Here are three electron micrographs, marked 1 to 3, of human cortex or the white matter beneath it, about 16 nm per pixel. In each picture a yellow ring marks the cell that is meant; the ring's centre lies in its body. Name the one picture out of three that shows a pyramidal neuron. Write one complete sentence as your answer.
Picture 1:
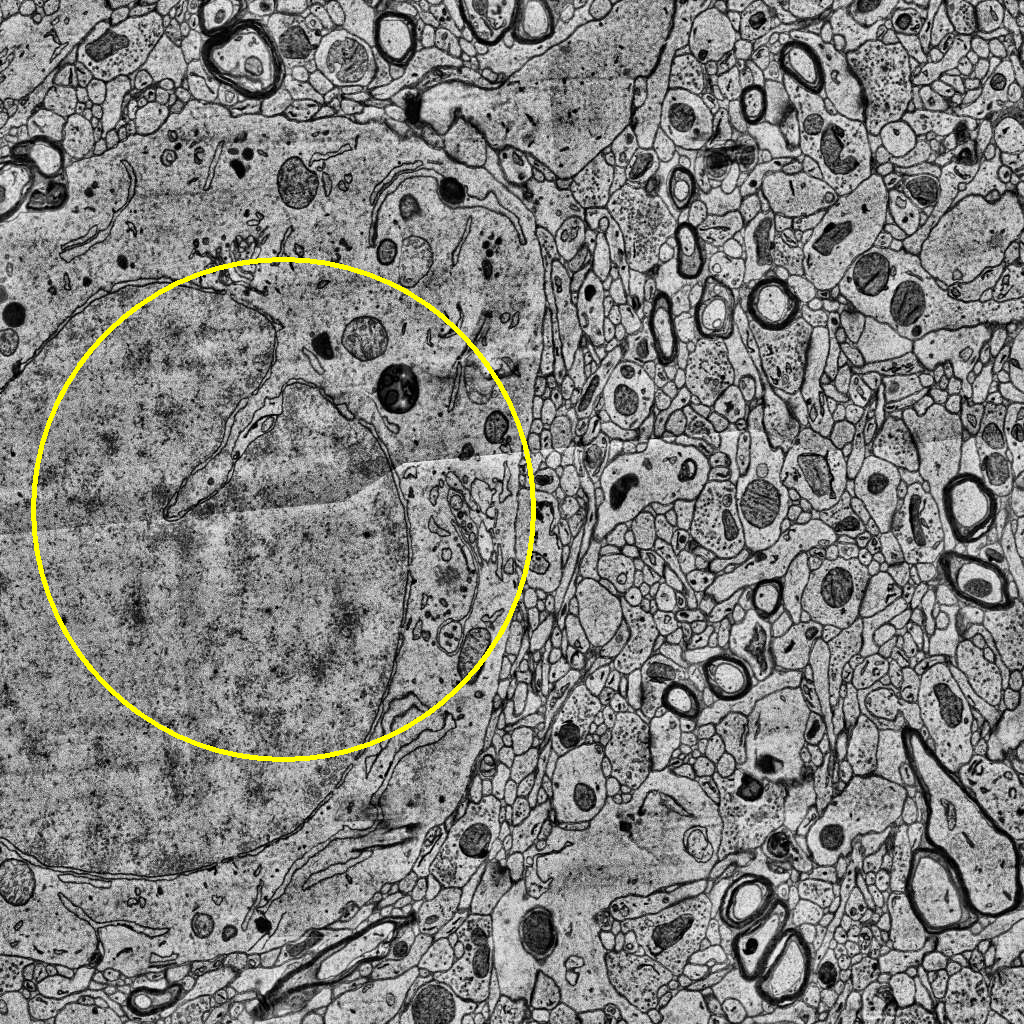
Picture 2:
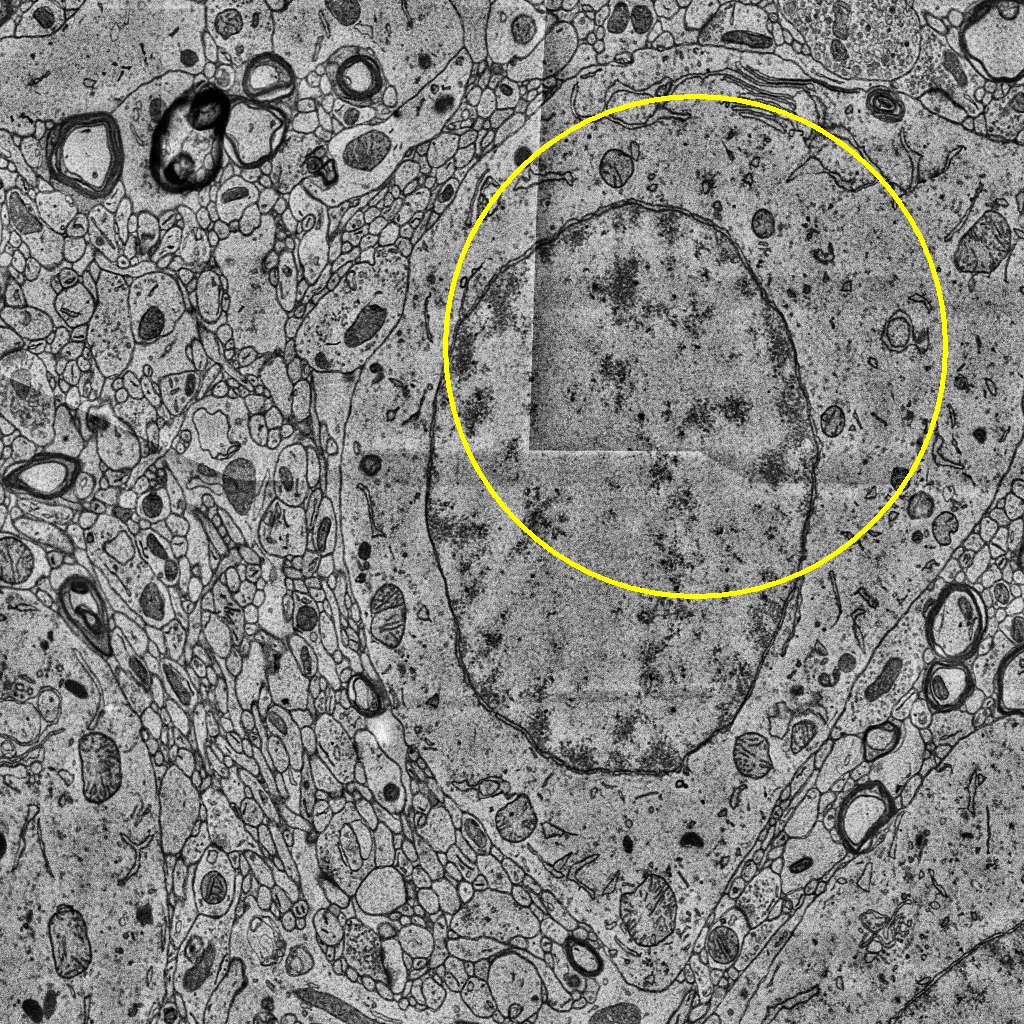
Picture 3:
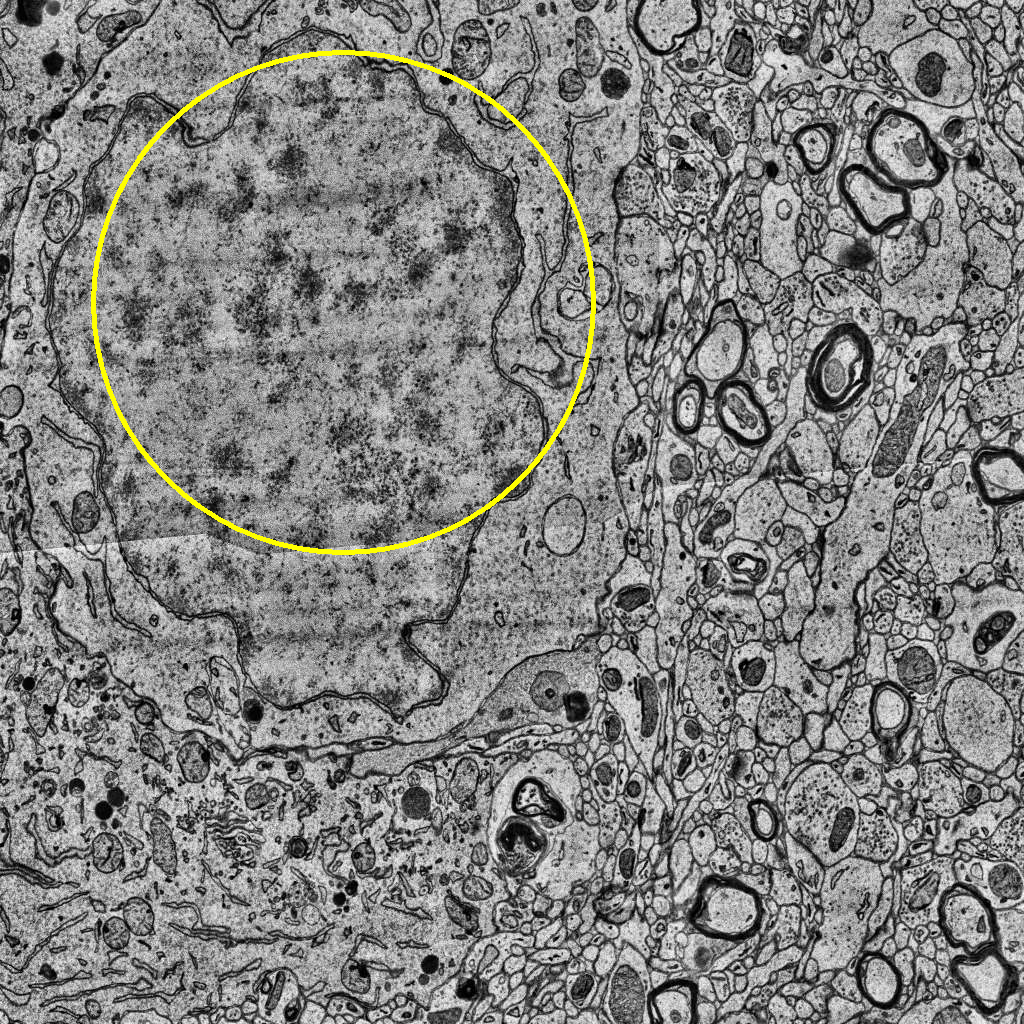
The cell in picture 2 is the pyramidal neuron.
